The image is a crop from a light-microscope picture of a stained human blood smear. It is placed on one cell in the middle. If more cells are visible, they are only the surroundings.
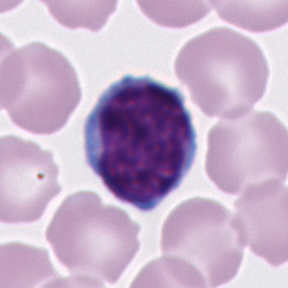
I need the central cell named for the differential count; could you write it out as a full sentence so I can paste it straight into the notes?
Within this crop, a typical lymphocyte occupies the central position.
